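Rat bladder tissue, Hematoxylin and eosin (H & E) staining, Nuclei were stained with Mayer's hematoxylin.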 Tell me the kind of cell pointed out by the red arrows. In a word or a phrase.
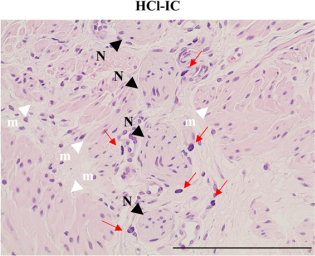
Mast cells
